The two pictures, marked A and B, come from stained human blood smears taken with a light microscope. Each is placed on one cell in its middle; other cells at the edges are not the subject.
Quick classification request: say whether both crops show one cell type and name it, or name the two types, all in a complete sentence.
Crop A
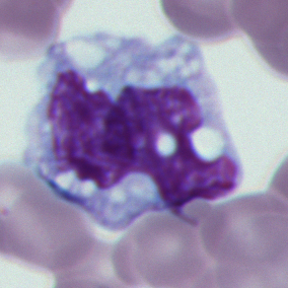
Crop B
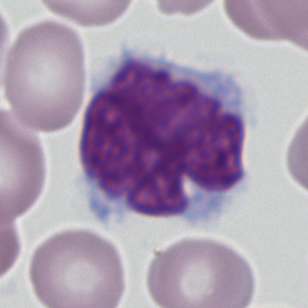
Yes, that holds, both crops show monocytes.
